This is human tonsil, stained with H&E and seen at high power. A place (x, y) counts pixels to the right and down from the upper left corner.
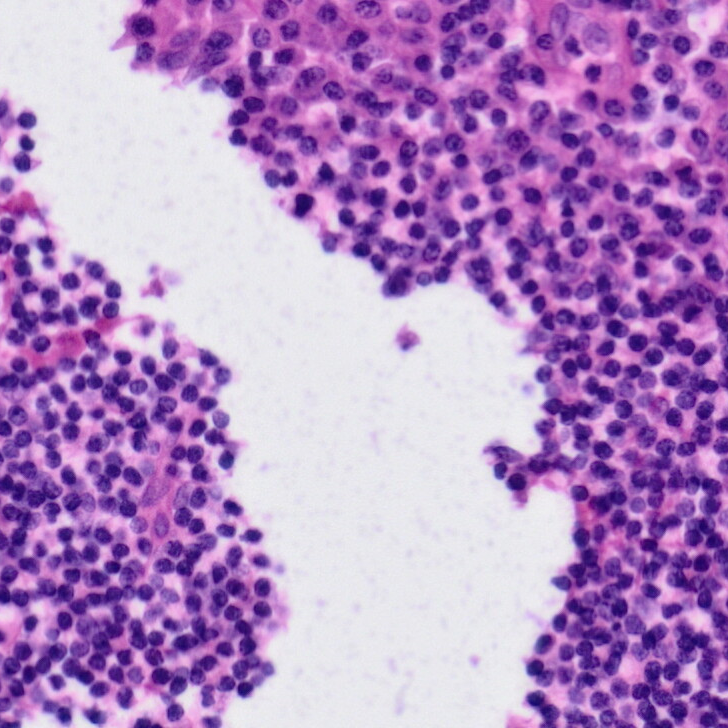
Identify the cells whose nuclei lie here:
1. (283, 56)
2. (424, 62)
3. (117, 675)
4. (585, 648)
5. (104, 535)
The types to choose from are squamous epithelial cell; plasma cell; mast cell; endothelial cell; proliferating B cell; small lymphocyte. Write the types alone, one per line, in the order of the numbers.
plasma cell
plasma cell
small lymphocyte
small lymphocyte
small lymphocyte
